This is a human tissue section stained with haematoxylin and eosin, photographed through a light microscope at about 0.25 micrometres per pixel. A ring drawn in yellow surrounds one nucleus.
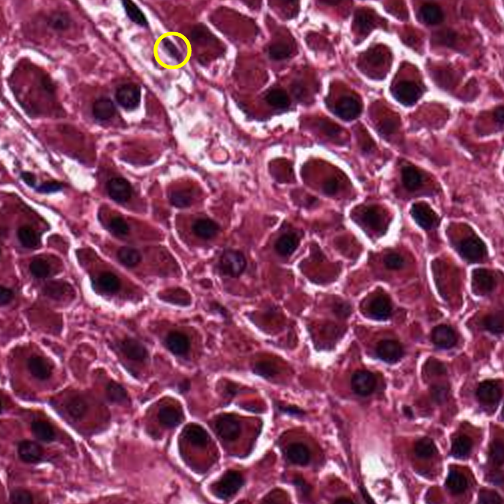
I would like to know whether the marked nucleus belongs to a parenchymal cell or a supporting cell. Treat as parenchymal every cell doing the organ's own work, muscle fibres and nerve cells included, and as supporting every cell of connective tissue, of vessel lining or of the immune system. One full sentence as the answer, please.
The marked nucleus belongs to a cell, and that cell is a supporting cell.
